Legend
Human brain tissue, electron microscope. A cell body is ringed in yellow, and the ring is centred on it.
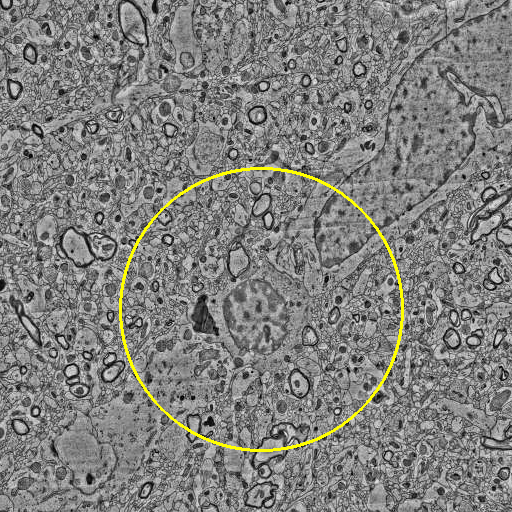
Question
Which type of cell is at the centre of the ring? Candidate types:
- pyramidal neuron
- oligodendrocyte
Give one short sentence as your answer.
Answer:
The yellow ring is centred here on an oligodendrocyte.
